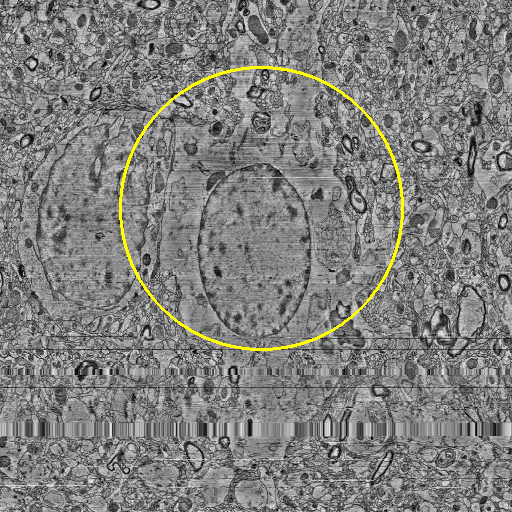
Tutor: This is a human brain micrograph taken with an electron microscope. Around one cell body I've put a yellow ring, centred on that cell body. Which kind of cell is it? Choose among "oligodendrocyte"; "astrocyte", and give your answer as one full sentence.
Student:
Going by your list, the cell centred in the yellow ring is an astrocyte.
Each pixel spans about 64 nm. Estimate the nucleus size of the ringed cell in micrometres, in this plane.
In this plane the nucleus measures about 11 by 7 micrometres and is clearly longer than it is wide.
